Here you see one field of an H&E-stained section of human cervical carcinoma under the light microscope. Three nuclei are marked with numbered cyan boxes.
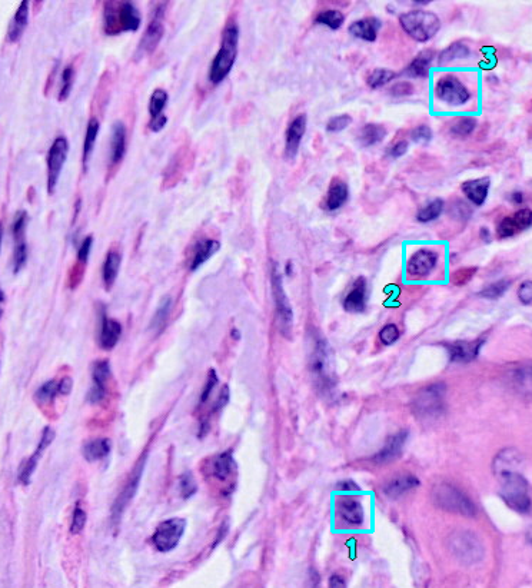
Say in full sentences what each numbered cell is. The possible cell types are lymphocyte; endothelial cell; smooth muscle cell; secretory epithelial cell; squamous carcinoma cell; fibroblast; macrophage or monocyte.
Cell 1 is a macrophage or monocyte. Cells 2 and 3 are lymphocytes.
